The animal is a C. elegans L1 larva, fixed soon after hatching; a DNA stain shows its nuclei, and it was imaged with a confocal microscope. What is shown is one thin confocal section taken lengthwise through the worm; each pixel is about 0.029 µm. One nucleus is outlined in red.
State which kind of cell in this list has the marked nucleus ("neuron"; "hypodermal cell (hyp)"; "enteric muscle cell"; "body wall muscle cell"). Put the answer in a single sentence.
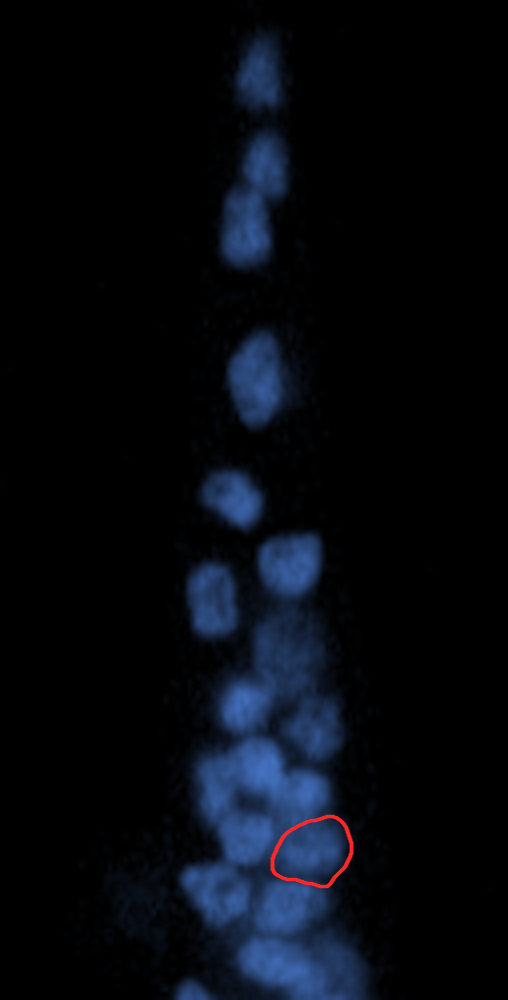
The nucleus comes from an enteric muscle cell.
